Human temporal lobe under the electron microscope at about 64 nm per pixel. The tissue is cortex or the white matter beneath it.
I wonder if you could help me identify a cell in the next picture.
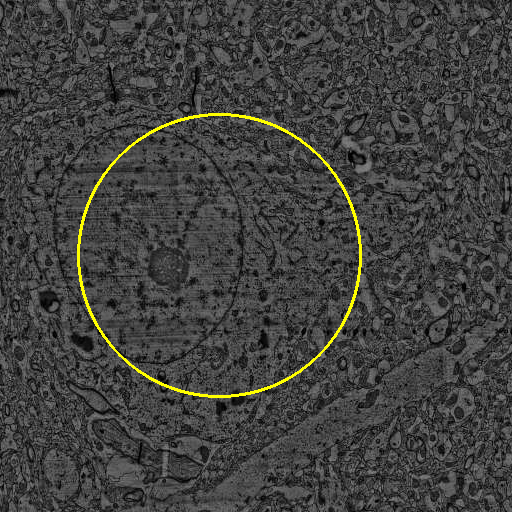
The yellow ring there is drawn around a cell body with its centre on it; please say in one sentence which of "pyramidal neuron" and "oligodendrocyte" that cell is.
The yellow ring is centred on a pyramidal neuron.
